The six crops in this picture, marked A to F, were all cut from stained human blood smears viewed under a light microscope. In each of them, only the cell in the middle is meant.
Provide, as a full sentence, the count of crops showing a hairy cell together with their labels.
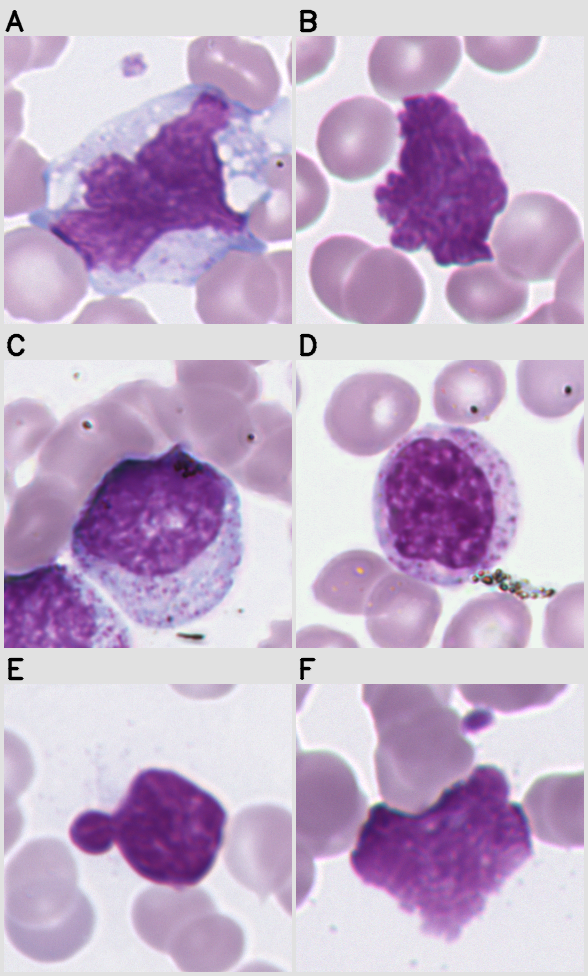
So far as hairy cells go, the crops show none, and the count is zero.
